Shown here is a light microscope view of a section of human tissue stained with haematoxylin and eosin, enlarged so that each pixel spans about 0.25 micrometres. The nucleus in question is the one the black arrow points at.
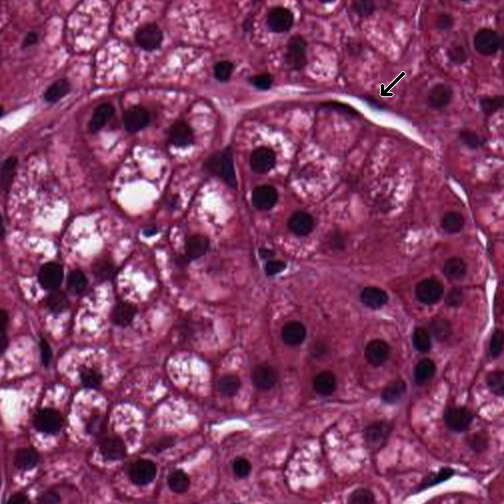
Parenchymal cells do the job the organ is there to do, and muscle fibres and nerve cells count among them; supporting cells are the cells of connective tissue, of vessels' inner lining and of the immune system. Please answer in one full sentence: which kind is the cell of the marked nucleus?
The marked nucleus forms part of a supporting cell.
